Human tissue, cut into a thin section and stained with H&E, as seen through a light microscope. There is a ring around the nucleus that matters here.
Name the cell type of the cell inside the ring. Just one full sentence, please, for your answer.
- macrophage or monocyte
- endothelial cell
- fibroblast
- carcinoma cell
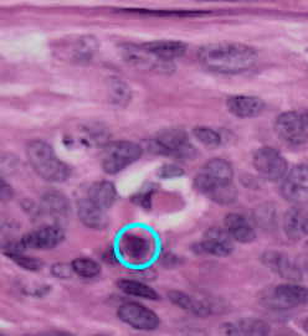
In short, the cell inside the ring on this section is a carcinoma cell.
